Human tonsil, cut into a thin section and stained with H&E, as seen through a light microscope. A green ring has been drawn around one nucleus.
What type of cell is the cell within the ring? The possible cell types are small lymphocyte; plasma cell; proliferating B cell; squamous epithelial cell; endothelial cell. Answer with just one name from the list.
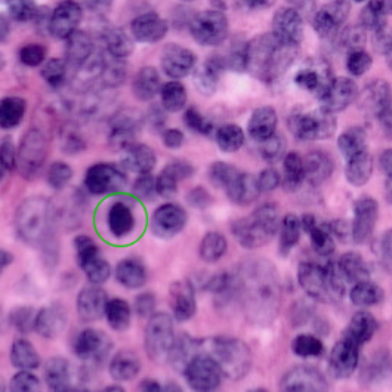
proliferating B cell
